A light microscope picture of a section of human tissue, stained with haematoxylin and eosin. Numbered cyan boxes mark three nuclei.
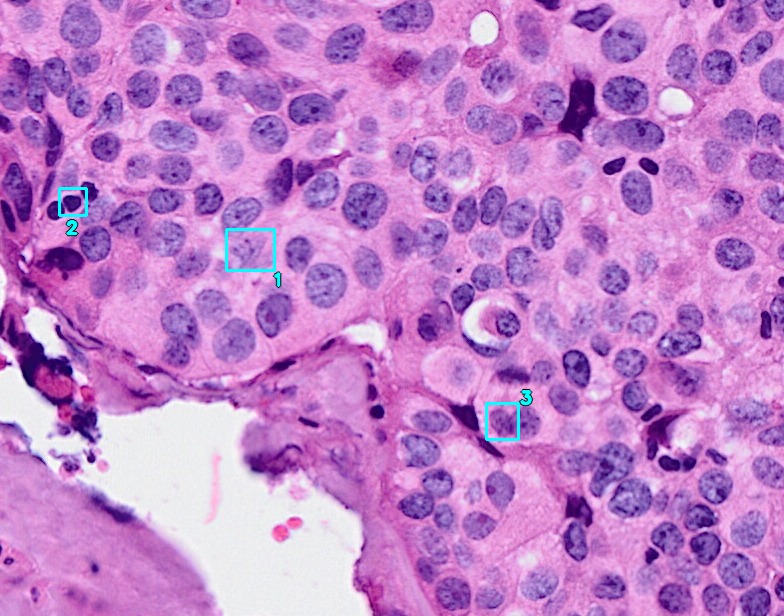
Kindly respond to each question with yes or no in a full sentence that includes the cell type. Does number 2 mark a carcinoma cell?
No, the right label for cell 2 is a lymphocyte rather than a carcinoma cell.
